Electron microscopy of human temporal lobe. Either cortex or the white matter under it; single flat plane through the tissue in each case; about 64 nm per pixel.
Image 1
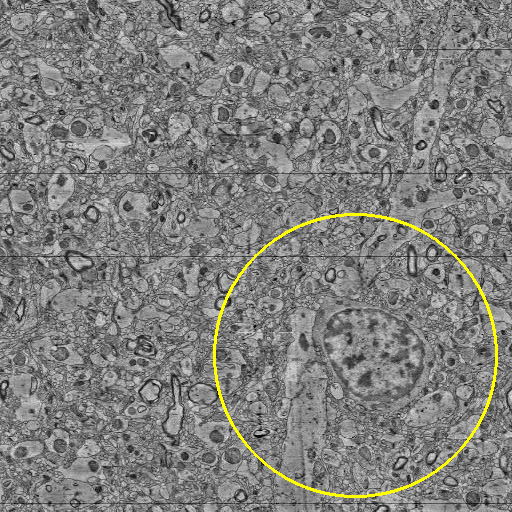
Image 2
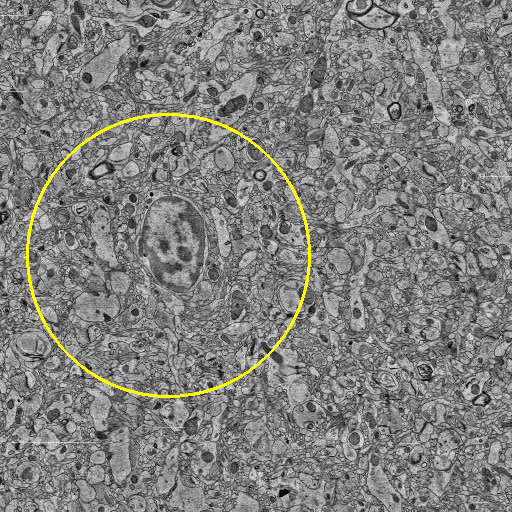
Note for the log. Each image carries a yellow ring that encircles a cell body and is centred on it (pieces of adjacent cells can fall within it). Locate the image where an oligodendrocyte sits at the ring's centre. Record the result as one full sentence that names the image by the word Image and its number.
Image 1 has the wanted cell sitting at the centre of its ring.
